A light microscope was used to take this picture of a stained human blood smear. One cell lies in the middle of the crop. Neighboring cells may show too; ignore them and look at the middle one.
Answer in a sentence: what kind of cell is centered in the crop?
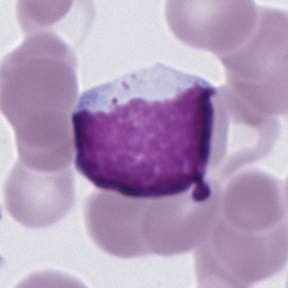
Occupying the centre of the crop is a large granular lymphocyte.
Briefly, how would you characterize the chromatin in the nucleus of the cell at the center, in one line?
In this cell the chromatin is fine rather than coarsely clumped.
